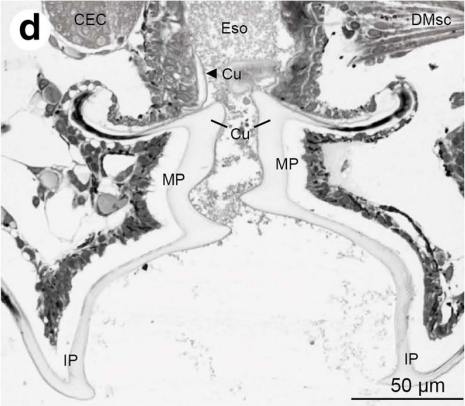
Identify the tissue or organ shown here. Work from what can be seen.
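The processes are lined on their outer side by a thin cellular layer.
Hence: mandible.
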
